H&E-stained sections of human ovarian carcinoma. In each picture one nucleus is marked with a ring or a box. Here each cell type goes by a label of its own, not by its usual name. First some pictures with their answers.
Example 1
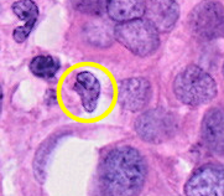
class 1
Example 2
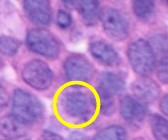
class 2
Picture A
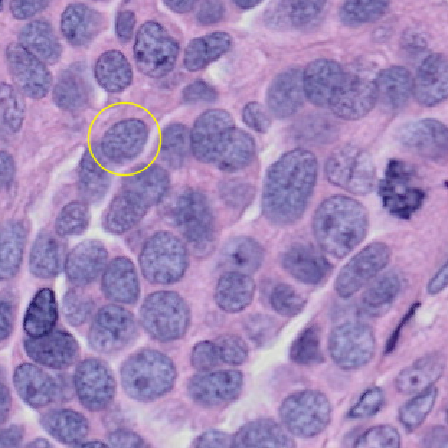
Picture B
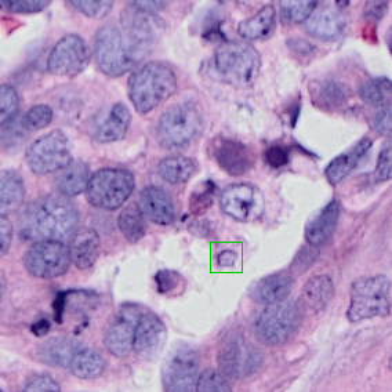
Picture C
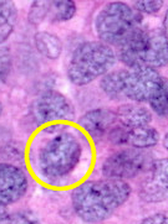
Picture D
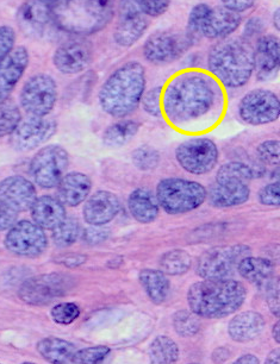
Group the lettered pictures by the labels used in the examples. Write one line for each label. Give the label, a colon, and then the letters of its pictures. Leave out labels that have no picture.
class 1: B
class 2: A, C, D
